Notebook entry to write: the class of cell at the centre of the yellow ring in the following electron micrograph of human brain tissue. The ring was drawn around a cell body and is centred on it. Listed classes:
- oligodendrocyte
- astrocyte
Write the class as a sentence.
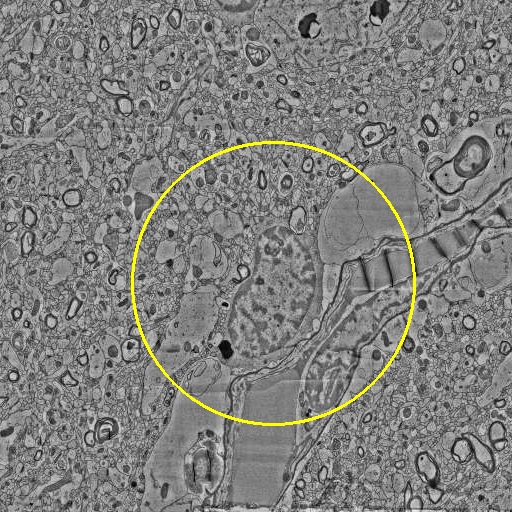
The yellow ring sits on an oligodendrocyte.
